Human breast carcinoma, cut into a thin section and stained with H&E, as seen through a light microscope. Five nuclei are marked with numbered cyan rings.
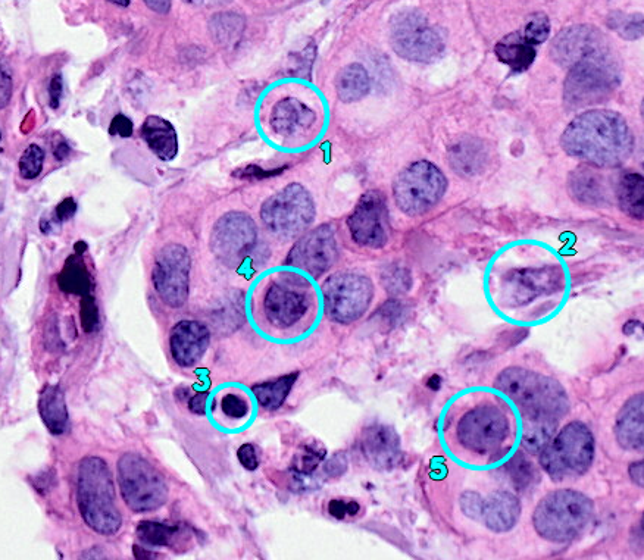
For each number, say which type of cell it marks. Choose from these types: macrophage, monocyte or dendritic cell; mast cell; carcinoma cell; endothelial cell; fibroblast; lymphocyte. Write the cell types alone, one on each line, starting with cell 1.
macrophage, monocyte or dendritic cell
fibroblast
lymphocyte
carcinoma cell
carcinoma cell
